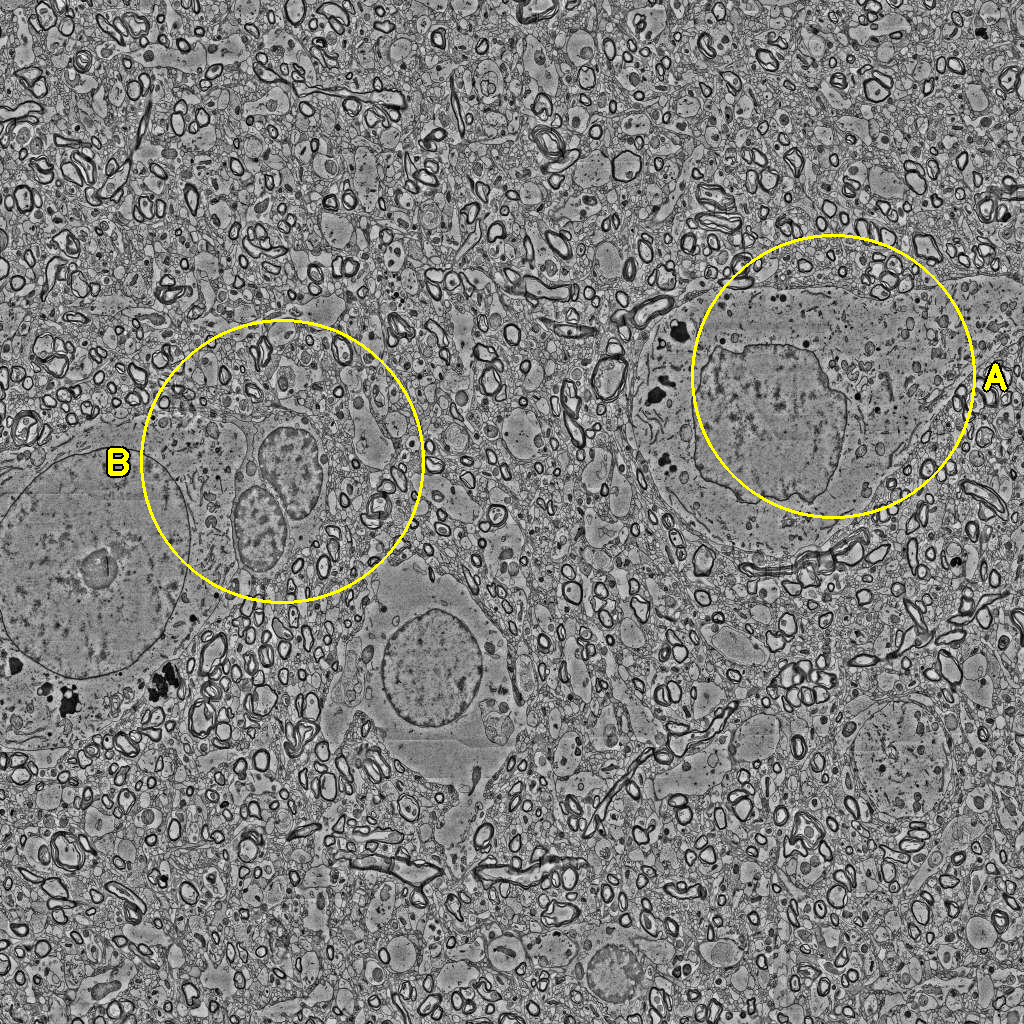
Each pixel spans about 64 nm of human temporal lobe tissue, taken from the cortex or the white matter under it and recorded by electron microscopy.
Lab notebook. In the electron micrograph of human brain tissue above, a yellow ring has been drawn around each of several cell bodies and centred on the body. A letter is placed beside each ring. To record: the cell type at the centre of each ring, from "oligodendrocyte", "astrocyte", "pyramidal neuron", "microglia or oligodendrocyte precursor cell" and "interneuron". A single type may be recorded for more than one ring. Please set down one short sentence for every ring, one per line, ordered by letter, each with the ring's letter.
The centre of ring A is occupied by a pyramidal neuron.
The centre of ring B is occupied by an oligodendrocyte.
